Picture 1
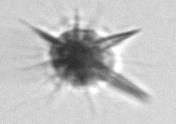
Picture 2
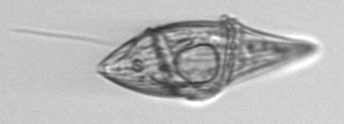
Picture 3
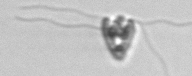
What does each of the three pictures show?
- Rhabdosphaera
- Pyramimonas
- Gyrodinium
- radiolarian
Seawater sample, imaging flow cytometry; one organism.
Picture 1: radiolarian
Picture 2: Gyrodinium
Picture 3: Pyramimonas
